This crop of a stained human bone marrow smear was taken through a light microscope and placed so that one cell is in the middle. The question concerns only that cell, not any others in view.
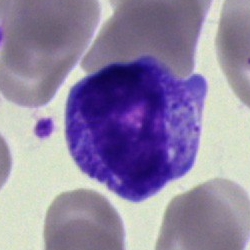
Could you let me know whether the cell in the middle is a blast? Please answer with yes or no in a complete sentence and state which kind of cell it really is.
No; rather than a blast, the cell at the center is a myelocyte.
